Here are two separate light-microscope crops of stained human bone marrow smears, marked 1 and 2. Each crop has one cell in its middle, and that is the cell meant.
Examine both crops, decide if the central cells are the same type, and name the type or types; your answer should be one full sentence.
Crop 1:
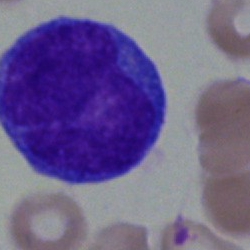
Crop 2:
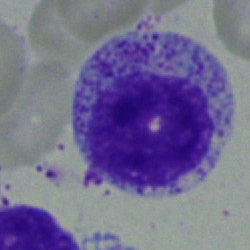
No, crop 1 contains a blast; a myelocyte is what crop 2 contains.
